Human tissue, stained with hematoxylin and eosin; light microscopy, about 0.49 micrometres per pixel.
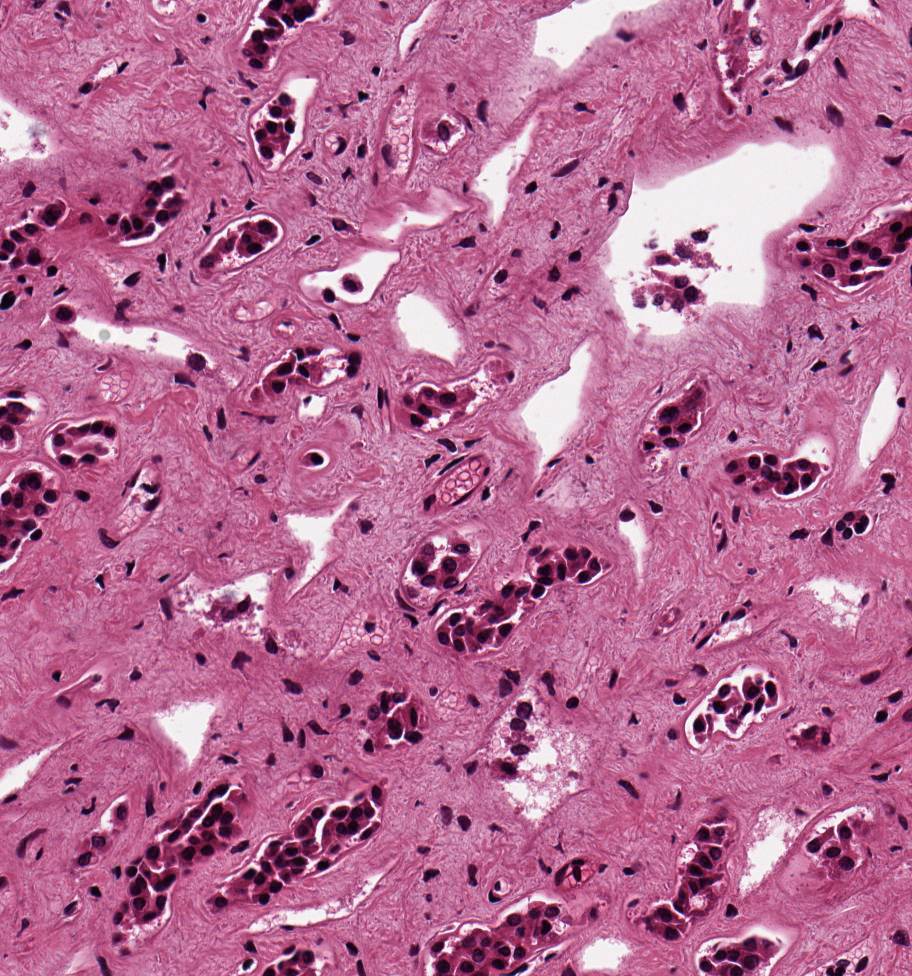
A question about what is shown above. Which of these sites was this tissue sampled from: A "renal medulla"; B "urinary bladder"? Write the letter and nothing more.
A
